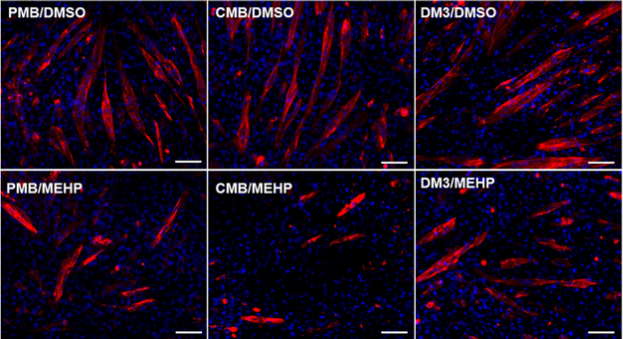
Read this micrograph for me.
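This is a cultured muscle cell layer in which multinucleated myotubes stand out in red against a dense carpet of small, round blue nuclei. The myotubes are long, spindle-shaped fibres, often tapering at both ends, and several run roughly parallel in places. Nuclei can be made out lining up along some of the red fibres. Most of the blue nuclei lie outside any red fibre, in cells that have not fused. In the lower row, particularly the first two images, the red fibres are fewer, shorter and thinner. Some of them are only small red fragments.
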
